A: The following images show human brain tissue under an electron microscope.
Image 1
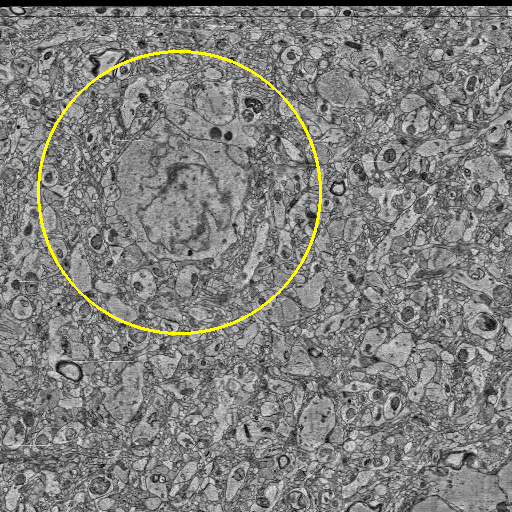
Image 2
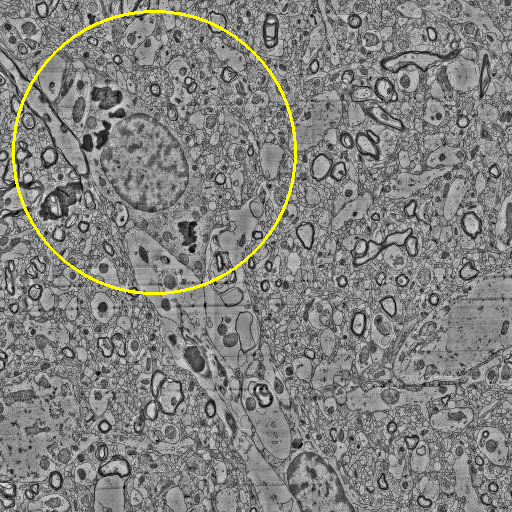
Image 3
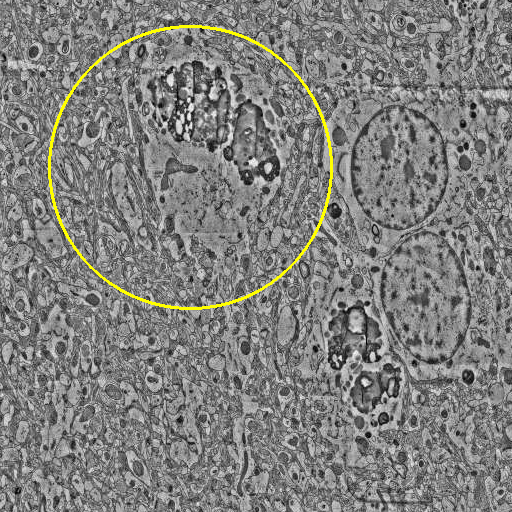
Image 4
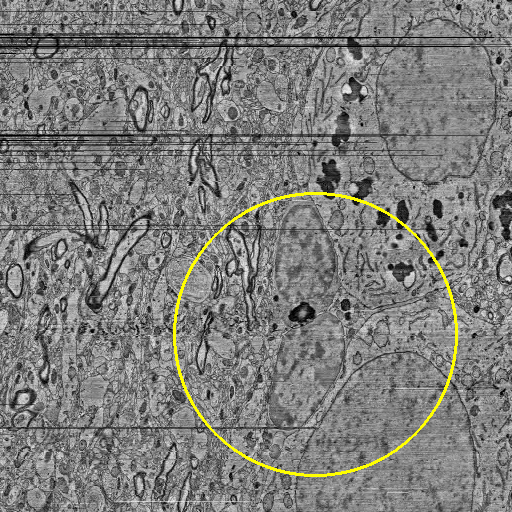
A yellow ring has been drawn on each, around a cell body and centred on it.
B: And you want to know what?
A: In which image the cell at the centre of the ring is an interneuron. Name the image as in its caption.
Image 1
